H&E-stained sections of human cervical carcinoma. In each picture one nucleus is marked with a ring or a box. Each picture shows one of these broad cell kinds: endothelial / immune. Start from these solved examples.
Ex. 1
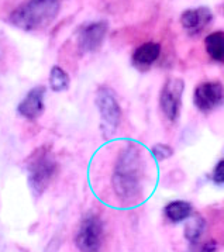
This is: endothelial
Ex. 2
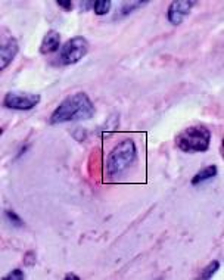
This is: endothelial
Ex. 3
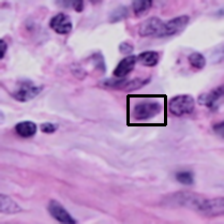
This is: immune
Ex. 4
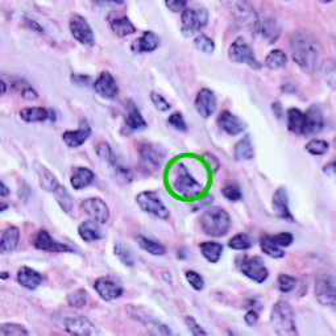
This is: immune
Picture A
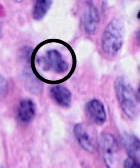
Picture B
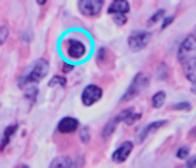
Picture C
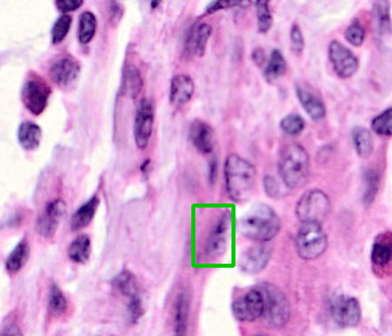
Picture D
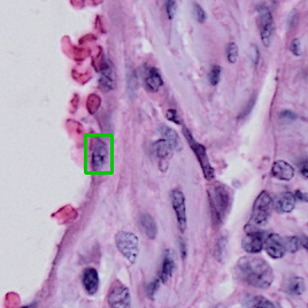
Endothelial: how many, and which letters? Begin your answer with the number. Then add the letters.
2, namely C, D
